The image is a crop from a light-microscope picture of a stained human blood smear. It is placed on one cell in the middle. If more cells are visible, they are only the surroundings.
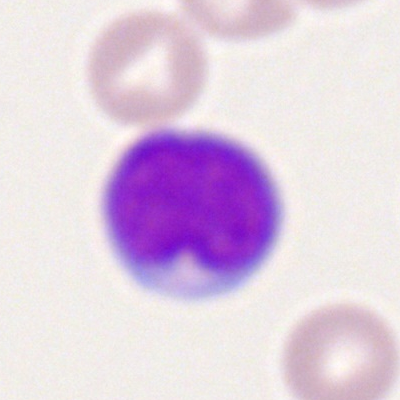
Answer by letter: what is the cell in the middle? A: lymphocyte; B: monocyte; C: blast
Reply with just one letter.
C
